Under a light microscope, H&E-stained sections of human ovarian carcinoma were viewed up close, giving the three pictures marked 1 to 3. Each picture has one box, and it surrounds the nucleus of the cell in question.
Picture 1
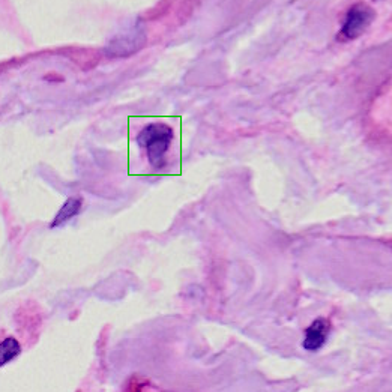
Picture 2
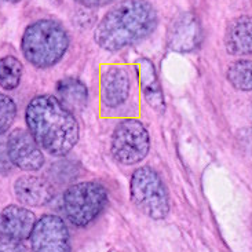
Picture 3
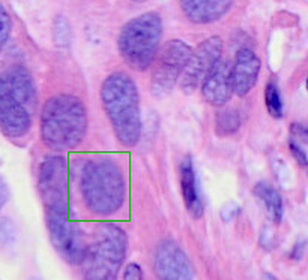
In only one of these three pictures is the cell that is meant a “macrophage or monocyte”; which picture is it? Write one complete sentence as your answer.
The picture with the “macrophage or monocyte” is 1.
